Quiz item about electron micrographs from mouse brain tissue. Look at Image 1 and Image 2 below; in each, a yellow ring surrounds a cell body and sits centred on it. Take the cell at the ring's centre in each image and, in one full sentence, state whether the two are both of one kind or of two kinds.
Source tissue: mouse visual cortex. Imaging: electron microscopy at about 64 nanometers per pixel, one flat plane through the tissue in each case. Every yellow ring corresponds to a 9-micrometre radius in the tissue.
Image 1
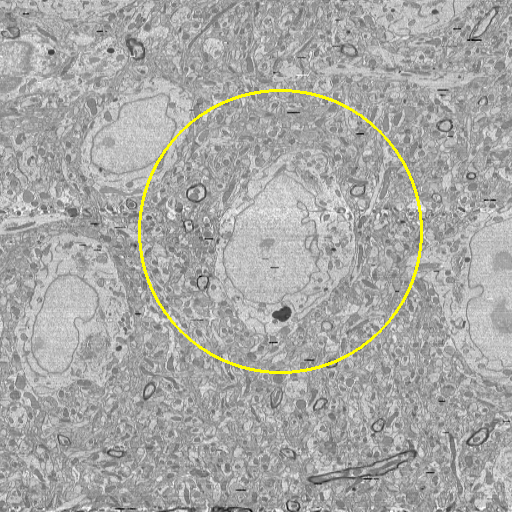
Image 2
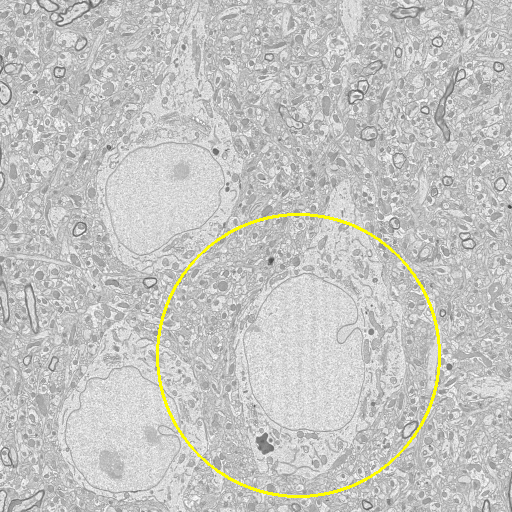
In Image 1 and Image 2, the cells at the ring centres are of two kinds.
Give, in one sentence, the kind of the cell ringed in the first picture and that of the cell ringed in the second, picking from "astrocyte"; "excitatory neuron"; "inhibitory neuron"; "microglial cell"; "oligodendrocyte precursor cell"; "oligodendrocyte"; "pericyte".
For the first picture it is an inhibitory neuron; for the second, an excitatory neuron.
